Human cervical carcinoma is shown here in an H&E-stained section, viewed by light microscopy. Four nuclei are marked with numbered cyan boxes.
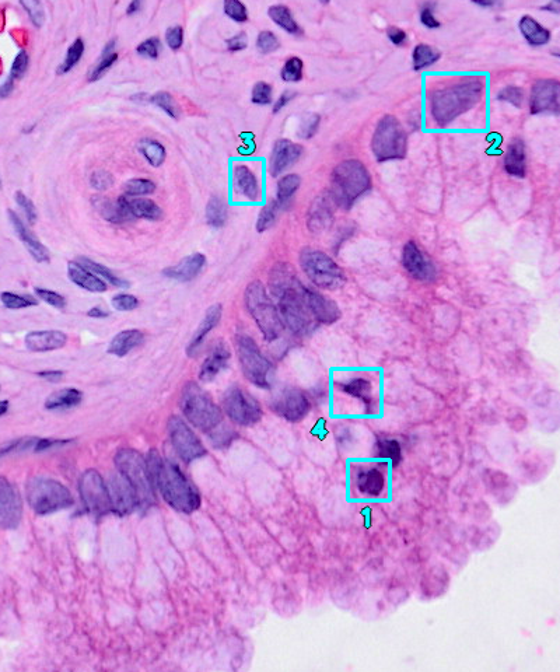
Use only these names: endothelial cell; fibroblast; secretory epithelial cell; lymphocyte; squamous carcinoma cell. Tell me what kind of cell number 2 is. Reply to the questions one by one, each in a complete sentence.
The marked cell bearing number 2 is a secretory epithelial cell.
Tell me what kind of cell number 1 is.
The cell indicated by marker 1 is a secretory epithelial cell in this section.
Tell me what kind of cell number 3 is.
The cell referred to as 3 is a fibroblast.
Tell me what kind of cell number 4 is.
The correct label for cell 4 is a secretory epithelial cell.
